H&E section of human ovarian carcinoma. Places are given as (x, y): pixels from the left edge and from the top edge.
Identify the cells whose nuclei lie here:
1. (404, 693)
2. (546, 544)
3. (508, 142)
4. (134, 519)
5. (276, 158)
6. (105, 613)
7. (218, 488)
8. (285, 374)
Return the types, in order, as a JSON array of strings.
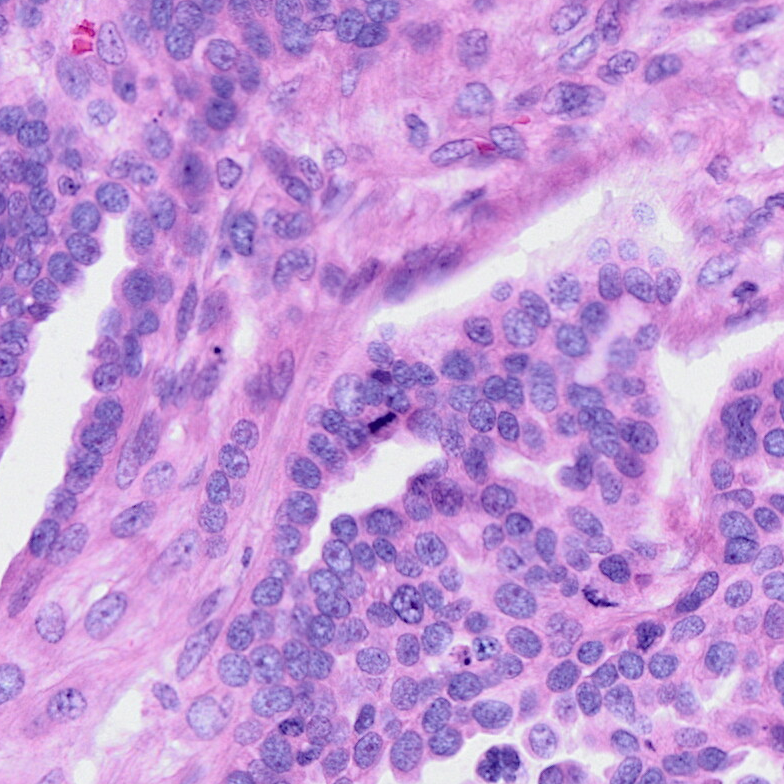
["carcinoma cell", "carcinoma cell", "endothelial cell", "fibroblast", "fibroblast", "fibroblast", "carcinoma cell", "fibroblast"]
